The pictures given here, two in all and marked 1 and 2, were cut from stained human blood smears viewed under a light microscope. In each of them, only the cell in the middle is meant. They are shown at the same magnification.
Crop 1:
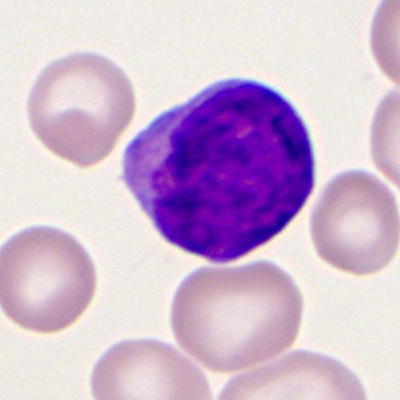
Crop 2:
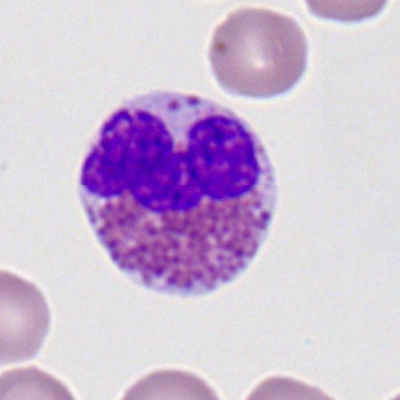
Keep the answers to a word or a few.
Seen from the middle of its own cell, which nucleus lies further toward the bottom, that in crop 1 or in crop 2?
1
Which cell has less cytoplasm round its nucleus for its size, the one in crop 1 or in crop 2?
1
